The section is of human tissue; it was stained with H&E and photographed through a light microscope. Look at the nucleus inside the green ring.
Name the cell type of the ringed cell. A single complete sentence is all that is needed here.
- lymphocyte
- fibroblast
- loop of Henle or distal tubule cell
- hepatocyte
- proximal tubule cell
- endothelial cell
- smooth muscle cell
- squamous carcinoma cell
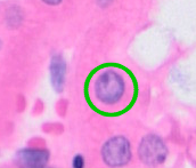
So far as cell type goes, the ringed cell is a proximal tubule cell.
